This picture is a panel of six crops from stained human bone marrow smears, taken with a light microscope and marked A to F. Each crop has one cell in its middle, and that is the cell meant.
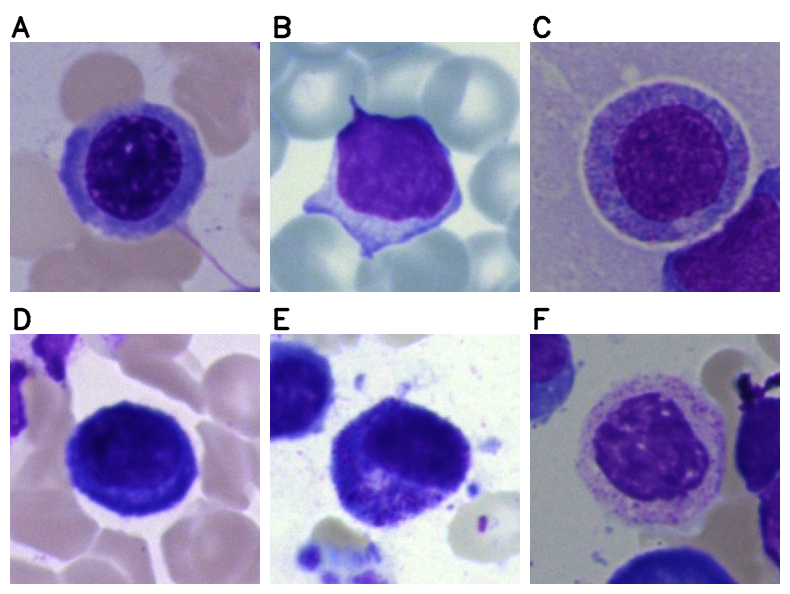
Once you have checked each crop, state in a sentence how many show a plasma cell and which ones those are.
Only crop D shows a plasma cell, making it the single match among the crops.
